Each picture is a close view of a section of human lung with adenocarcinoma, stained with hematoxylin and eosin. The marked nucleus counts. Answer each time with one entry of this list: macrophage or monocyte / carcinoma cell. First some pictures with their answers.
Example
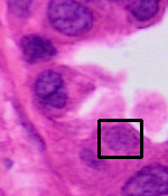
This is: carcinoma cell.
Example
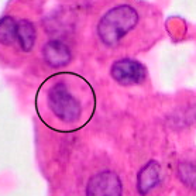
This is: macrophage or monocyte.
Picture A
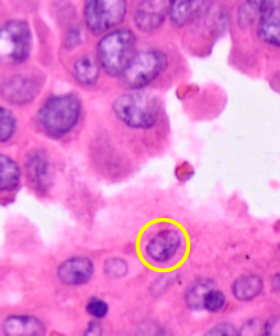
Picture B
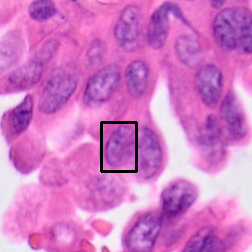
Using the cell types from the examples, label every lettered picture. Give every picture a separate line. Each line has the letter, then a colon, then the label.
A: macrophage or monocyte.
B: carcinoma cell.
